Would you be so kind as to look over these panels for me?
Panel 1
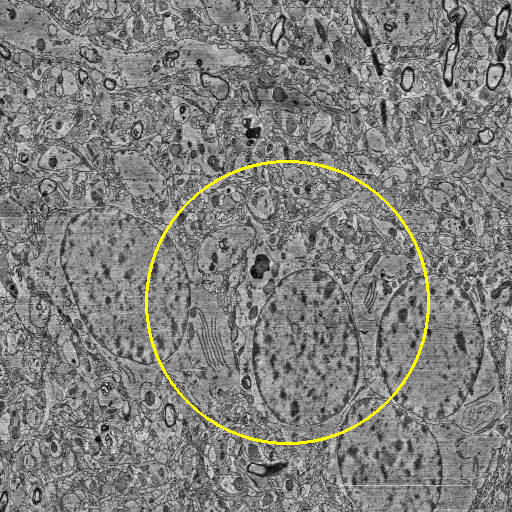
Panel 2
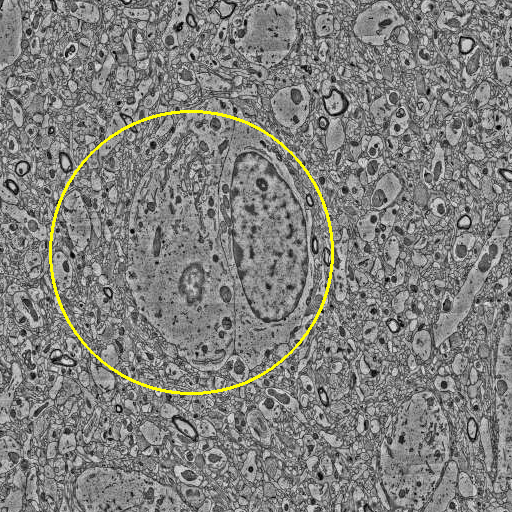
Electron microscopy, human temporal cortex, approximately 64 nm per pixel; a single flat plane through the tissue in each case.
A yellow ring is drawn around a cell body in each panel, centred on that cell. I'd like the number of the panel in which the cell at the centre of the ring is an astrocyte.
1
